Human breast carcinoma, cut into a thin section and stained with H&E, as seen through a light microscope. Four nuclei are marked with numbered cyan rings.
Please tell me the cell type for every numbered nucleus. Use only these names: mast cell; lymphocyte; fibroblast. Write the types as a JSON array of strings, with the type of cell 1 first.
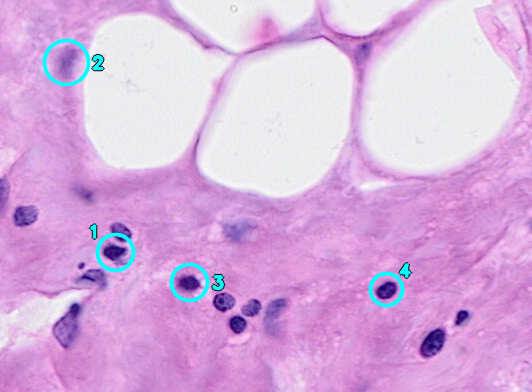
["lymphocyte", "fibroblast", "lymphocyte", "lymphocyte"]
